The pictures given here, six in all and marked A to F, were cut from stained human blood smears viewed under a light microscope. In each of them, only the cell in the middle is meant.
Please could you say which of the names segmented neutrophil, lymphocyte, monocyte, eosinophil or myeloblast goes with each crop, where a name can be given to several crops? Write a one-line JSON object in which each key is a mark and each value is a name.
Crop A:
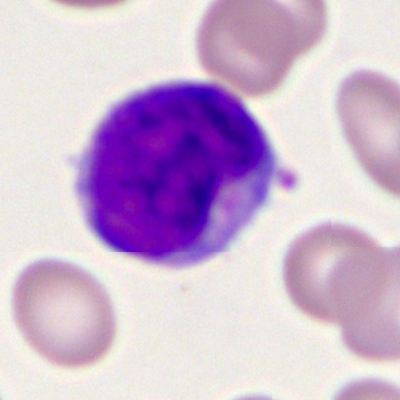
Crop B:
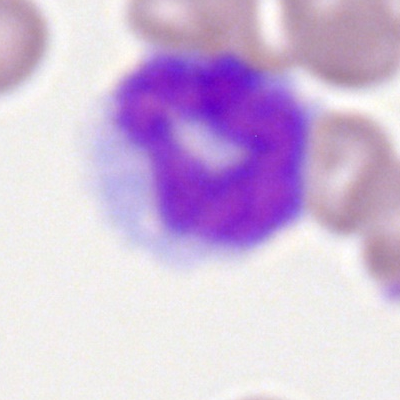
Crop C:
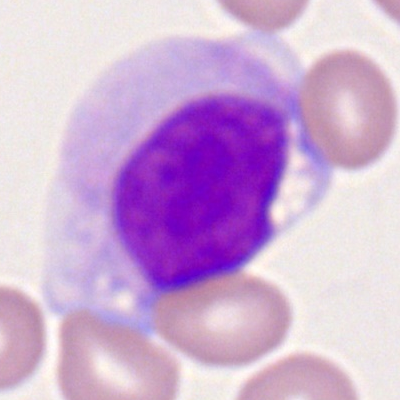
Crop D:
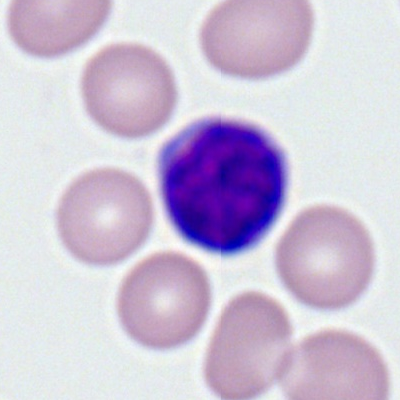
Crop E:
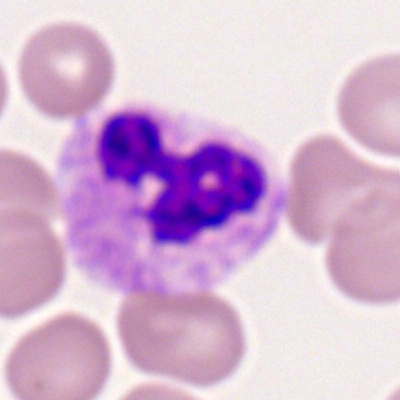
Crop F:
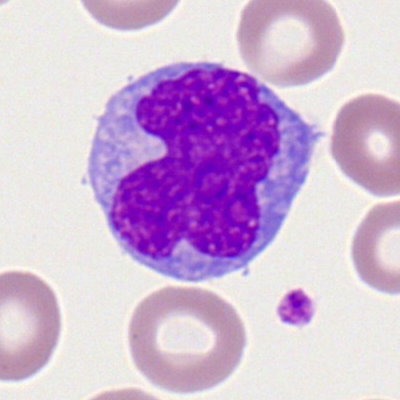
{"A": "myeloblast", "B": "monocyte", "C": "monocyte", "D": "lymphocyte", "E": "segmented neutrophil", "F": "monocyte"}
